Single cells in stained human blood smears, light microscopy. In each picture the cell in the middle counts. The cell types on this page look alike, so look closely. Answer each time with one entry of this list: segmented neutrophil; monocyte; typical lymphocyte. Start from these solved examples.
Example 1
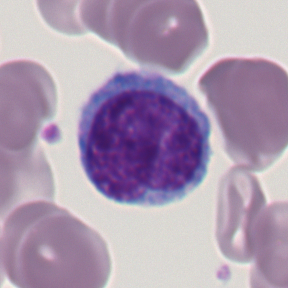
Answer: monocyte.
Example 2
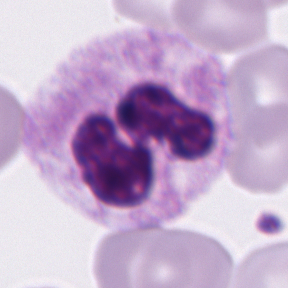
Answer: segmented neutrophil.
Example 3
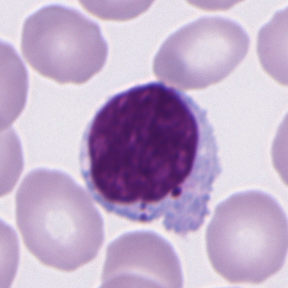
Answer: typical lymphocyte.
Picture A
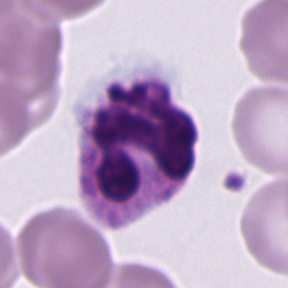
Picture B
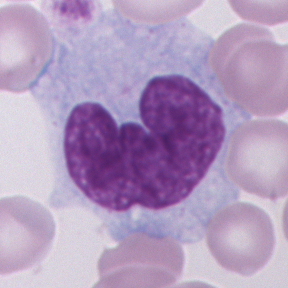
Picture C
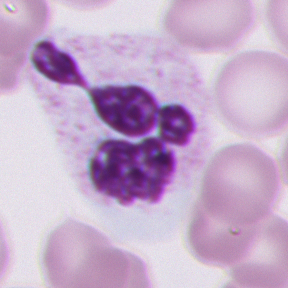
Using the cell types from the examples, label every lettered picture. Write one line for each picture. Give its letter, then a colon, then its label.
A: segmented neutrophil.
B: monocyte.
C: segmented neutrophil.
